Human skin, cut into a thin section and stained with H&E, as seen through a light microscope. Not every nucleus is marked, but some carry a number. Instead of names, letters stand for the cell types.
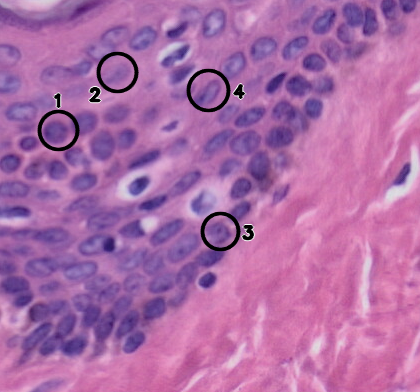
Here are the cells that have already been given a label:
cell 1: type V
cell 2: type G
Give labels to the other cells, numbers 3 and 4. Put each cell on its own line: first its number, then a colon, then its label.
3: type V
4: type G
